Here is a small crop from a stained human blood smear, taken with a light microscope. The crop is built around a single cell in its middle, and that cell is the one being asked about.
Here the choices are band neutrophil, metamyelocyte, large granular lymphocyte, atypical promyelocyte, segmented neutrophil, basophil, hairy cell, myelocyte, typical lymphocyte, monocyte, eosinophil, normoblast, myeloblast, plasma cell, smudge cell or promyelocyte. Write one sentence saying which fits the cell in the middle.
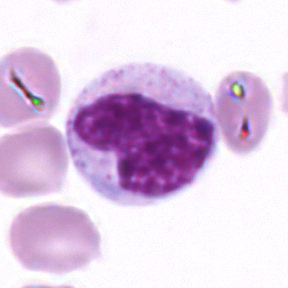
The single cell at the center of the crop is a metamyelocyte.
